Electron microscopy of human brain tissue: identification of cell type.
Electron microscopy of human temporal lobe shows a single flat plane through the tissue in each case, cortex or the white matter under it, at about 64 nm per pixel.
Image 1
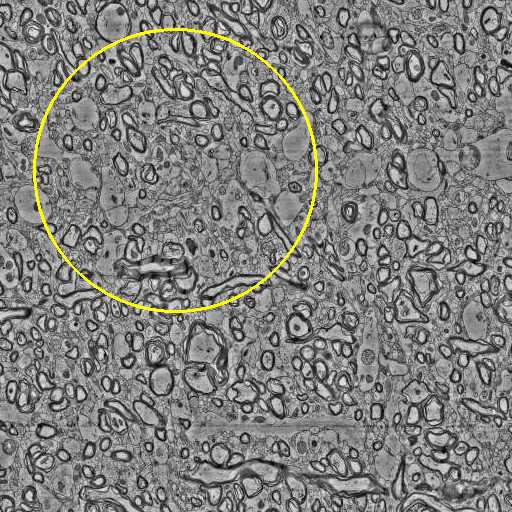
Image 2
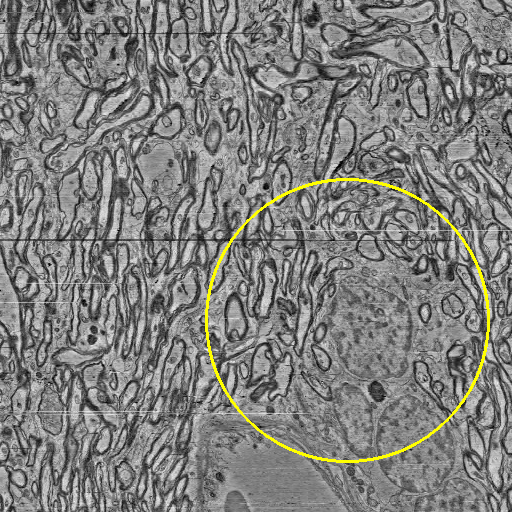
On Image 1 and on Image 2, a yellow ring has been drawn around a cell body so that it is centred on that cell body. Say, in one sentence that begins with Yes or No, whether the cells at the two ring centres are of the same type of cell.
No, the two cells are two separate types of cell.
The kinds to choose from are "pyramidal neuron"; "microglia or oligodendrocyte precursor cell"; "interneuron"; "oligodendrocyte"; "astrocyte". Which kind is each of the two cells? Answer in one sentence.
Of the two, the first cell is a microglial cell or oligodendrocyte precursor cell and the second cell is an oligodendrocyte.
